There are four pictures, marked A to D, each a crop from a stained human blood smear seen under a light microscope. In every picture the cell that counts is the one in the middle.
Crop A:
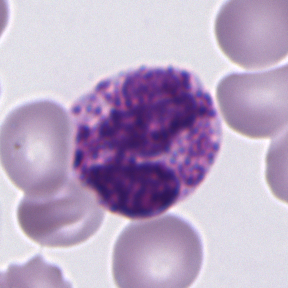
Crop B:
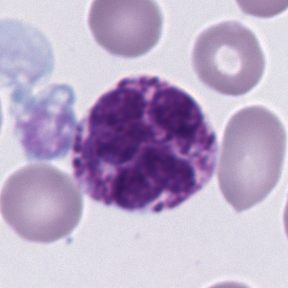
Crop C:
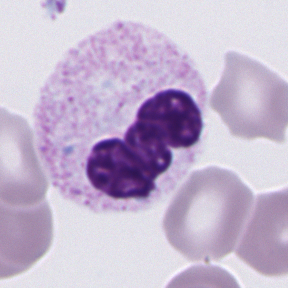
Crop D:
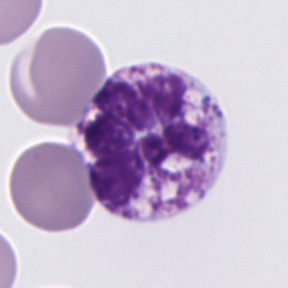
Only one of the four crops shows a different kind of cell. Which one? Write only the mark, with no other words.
C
